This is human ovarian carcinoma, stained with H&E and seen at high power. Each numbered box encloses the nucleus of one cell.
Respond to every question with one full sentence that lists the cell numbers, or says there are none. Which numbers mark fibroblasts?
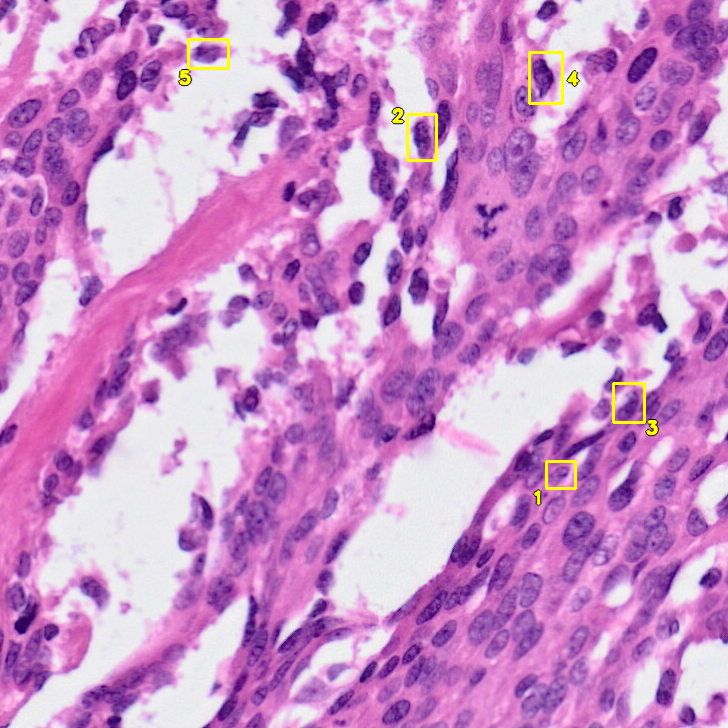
None of the numbered cells are fibroblasts.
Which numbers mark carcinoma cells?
Cells 2, 3 and 5 are recognised here as carcinoma cells.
